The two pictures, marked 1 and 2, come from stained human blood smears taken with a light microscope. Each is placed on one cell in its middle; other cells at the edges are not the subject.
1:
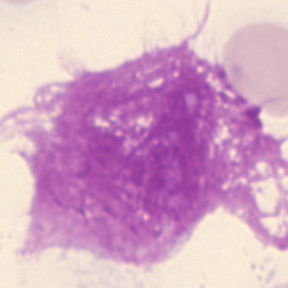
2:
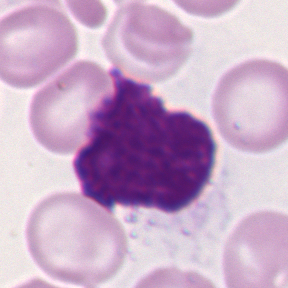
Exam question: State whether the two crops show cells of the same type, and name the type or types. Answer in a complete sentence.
Yes, the first and the second crop both show smudge cells.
